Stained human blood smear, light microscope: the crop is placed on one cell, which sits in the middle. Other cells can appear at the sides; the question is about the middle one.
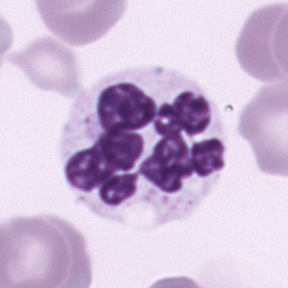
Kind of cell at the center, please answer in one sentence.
The center cell of this crop is a segmented neutrophil.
